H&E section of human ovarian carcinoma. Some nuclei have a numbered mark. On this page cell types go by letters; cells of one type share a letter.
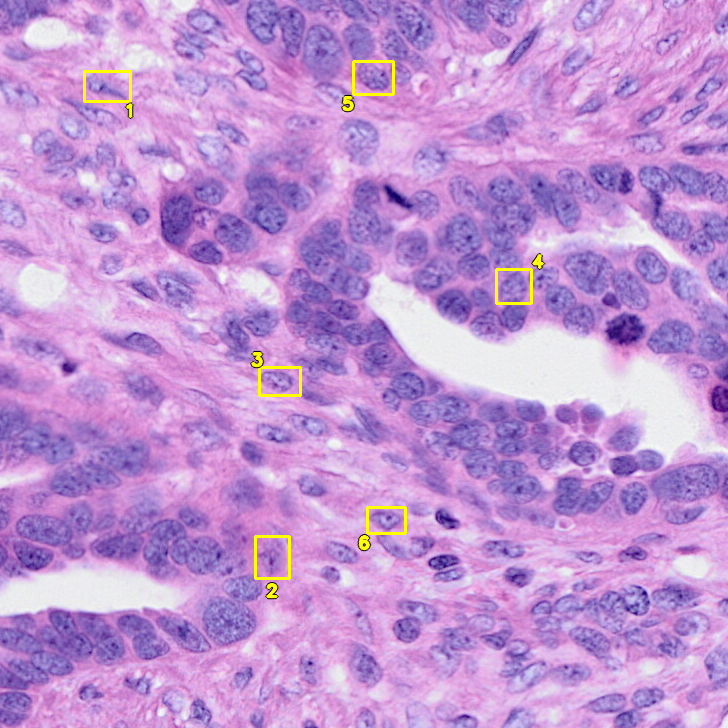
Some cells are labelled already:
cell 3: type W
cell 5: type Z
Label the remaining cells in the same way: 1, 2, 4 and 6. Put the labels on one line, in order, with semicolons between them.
type W; type W; type Z; type W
